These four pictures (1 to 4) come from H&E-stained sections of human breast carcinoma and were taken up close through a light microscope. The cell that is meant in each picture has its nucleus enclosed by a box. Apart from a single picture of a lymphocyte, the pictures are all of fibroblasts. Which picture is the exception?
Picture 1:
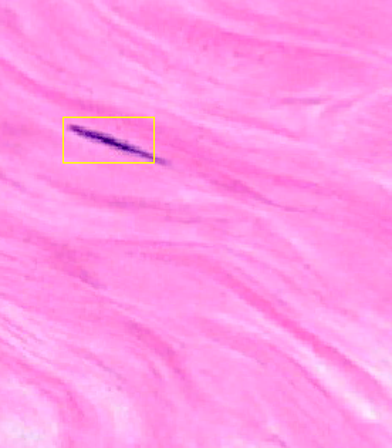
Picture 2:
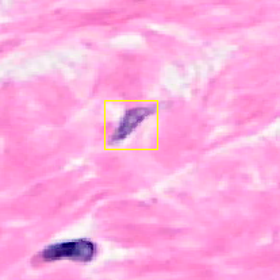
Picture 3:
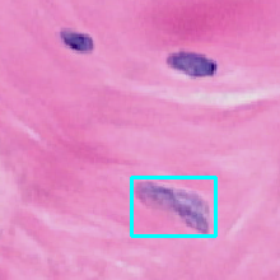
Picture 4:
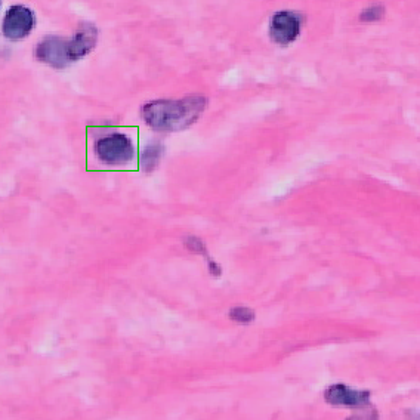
4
